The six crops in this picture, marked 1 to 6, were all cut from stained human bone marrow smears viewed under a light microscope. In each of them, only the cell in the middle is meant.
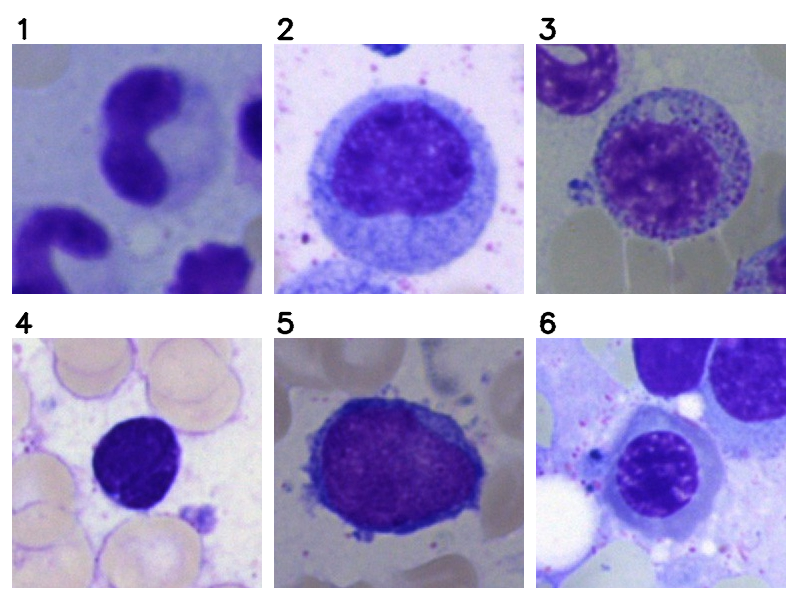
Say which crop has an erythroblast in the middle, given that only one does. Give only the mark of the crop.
6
